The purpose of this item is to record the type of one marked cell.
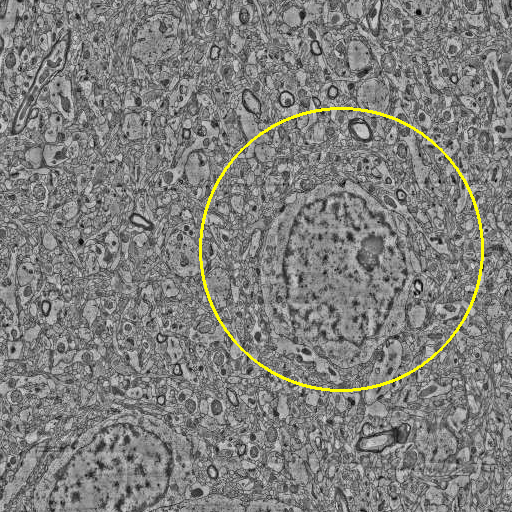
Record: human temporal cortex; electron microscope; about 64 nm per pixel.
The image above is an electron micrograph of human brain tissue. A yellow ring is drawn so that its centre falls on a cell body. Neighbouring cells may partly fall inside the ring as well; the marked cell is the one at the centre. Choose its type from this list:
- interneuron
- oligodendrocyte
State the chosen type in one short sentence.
What the ring marks here is an interneuron.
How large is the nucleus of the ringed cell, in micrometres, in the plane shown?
Roughly 10 by 8 micrometres in this plane, for the nucleus of the ringed cell.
